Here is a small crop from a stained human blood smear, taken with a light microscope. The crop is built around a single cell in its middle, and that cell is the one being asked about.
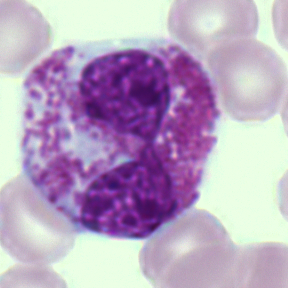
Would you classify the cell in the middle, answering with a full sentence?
In the middle of this smear crop is an eosinophil.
